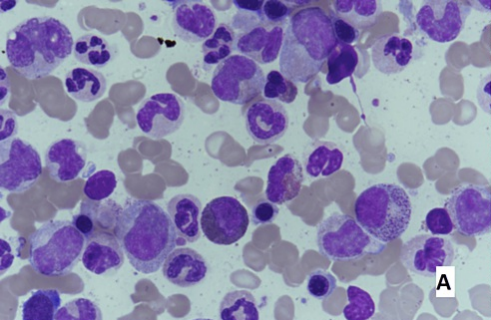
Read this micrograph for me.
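This bone marrow aspirate smear is dominated by cells of the granulocytic series at many stages of maturation. Larger precursors have round to oval nuclei with fairly condensed chromatin and bluish-lilac granular cytoplasm, and lie beside band forms and segmented neutrophils with lobed nuclei. Only a few small cells with round dark nuclei are scattered among them, and red cells fill the background.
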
